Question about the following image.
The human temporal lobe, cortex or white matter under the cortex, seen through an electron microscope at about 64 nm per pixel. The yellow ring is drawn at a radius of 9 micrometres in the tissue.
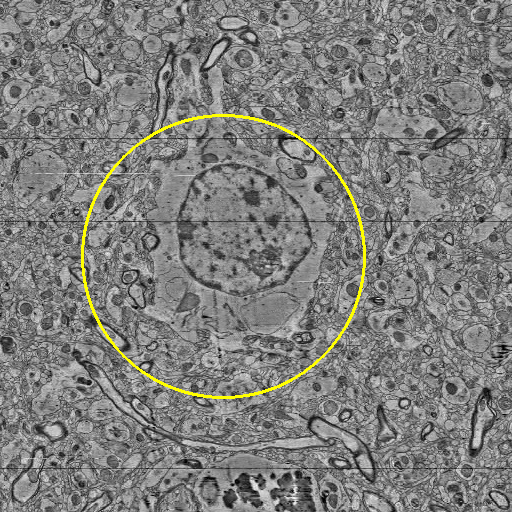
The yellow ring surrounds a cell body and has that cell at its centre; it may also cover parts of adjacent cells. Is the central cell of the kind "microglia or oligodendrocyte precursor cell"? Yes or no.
No, it is of another kind.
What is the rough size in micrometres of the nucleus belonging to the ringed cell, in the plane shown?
Roughly 9 micrometers across, in this plane.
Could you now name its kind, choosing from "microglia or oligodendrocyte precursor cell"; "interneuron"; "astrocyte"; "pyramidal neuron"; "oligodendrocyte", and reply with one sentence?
Instead, what sits at the centre of the ring is an astrocyte.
